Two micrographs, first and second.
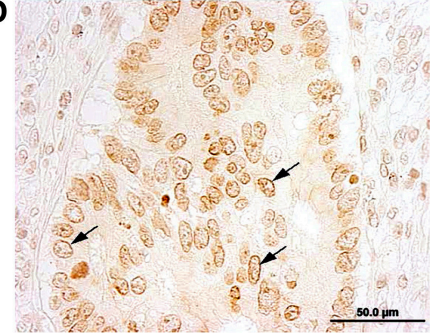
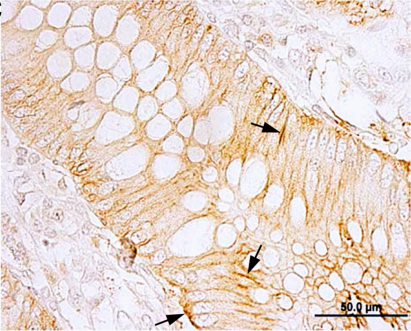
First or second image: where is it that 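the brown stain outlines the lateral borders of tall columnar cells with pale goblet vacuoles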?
The second image.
